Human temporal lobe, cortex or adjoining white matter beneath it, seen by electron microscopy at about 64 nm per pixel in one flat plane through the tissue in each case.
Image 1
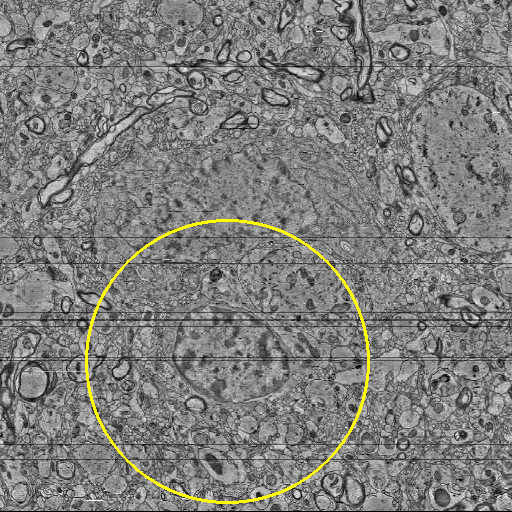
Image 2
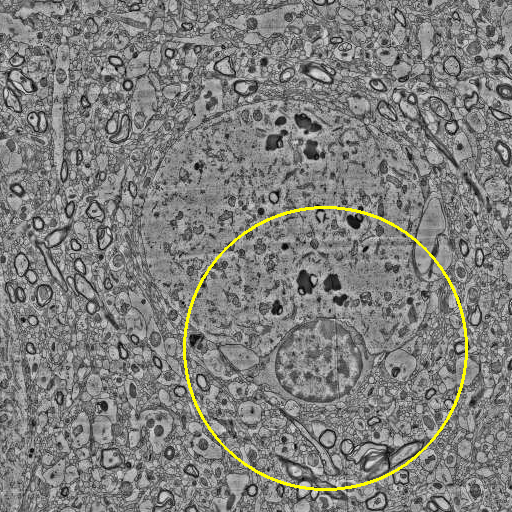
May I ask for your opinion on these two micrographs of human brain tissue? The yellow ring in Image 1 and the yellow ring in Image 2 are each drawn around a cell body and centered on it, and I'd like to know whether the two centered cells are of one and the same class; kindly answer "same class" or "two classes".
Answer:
same class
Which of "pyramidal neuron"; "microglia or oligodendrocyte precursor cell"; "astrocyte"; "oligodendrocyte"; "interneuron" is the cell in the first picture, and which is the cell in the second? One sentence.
Both rings mark an oligodendrocyte, one in each picture.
